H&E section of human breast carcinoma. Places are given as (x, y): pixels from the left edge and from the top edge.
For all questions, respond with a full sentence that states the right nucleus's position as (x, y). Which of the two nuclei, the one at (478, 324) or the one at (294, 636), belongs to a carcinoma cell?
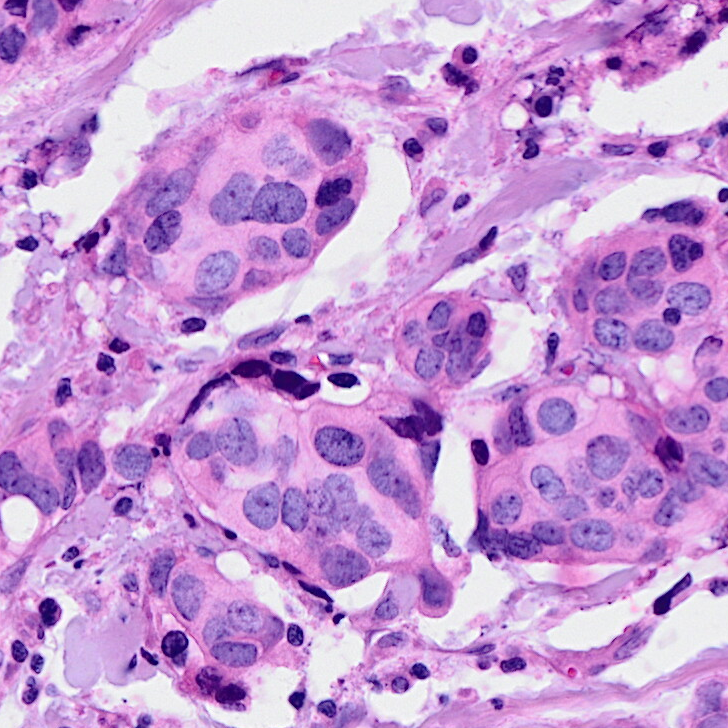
In this pair, the nucleus at (478, 324) belongs to a carcinoma cell.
